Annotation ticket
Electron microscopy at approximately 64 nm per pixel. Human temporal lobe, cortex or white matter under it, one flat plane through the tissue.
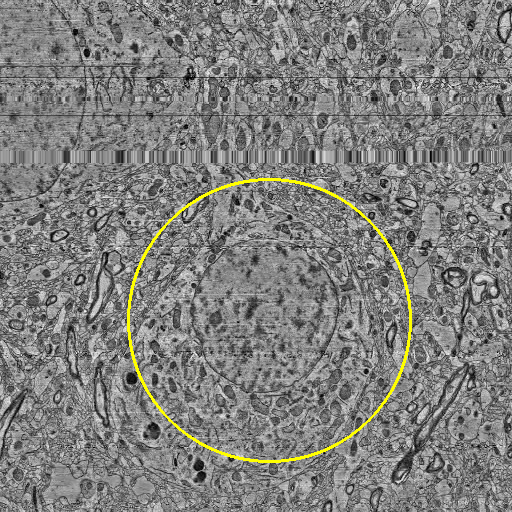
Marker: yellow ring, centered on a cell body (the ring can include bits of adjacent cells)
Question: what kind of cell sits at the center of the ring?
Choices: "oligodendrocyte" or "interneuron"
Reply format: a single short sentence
The ring is centered on an interneuron.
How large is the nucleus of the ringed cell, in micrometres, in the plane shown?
In this plane the ringed cell's nucleus is roughly 10 micrometres across.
